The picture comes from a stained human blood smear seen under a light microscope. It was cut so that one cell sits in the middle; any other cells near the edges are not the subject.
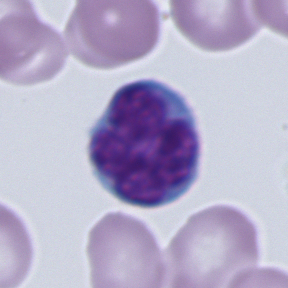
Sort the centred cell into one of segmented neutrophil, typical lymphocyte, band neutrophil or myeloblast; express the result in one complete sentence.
Classified as a myeloblast is the cell in the middle of this crop.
